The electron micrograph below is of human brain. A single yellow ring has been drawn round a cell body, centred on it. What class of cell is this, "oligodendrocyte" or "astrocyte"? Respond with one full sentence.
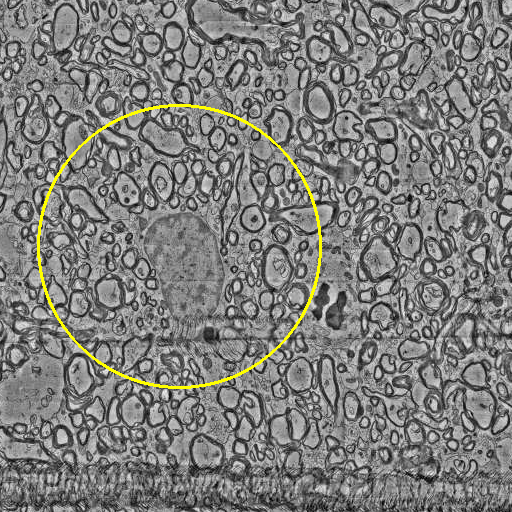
In the micrograph, the cell centred inside the yellow ring is an oligodendrocyte.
